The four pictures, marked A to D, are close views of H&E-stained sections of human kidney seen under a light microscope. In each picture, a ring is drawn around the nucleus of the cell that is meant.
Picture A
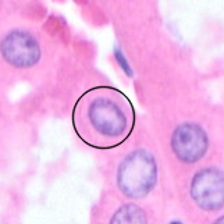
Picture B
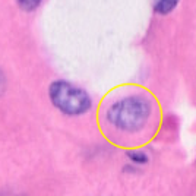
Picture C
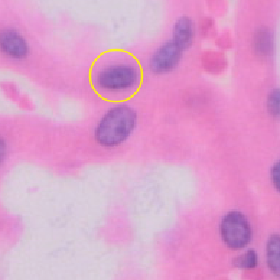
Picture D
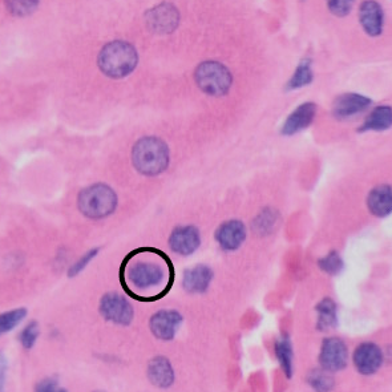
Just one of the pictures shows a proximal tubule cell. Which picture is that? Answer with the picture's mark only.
A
